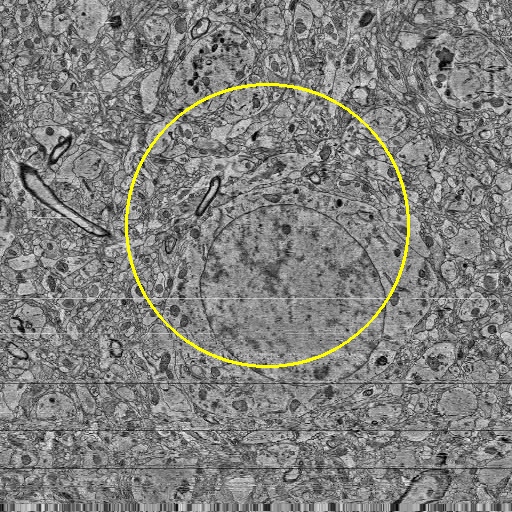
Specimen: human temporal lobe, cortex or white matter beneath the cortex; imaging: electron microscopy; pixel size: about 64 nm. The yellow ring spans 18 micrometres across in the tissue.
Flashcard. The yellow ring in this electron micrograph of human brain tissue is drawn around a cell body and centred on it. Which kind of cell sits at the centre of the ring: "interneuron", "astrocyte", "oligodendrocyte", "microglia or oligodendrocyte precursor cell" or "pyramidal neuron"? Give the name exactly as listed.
pyramidal neuron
